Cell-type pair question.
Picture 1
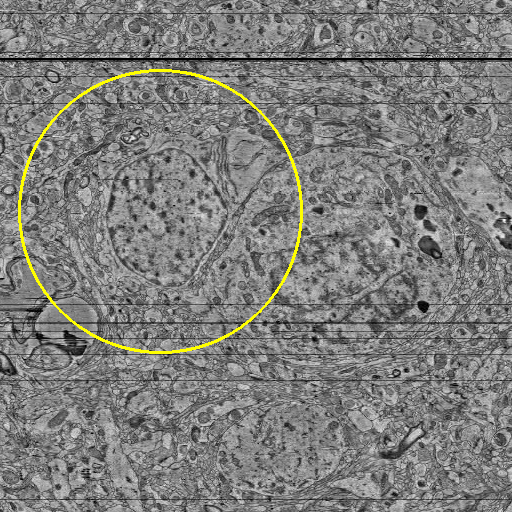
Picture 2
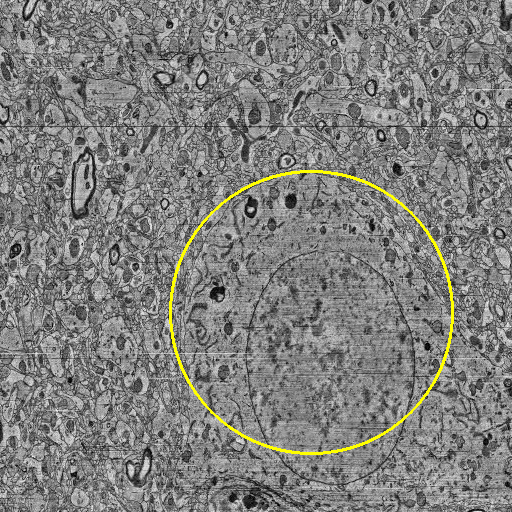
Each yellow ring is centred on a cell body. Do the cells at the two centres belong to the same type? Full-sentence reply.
No, the two cells belong to two types.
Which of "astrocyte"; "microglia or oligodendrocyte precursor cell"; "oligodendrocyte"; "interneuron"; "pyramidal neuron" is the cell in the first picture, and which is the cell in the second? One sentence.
The two differ: the first cell is an astrocyte and the second is a pyramidal neuron.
